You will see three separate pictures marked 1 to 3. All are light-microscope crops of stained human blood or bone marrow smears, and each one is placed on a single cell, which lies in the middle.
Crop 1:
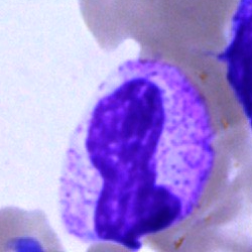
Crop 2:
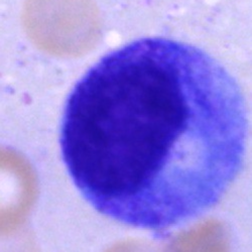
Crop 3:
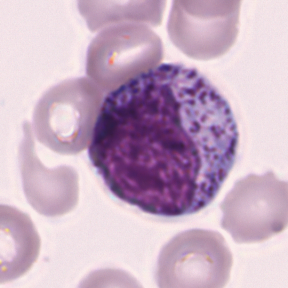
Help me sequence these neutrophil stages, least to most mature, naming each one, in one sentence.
Along the maturation line, from least to most mature, sit crop 2 (a promyelocyte), crop 3 (a myelocyte) and crop 1 (a band neutrophil).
